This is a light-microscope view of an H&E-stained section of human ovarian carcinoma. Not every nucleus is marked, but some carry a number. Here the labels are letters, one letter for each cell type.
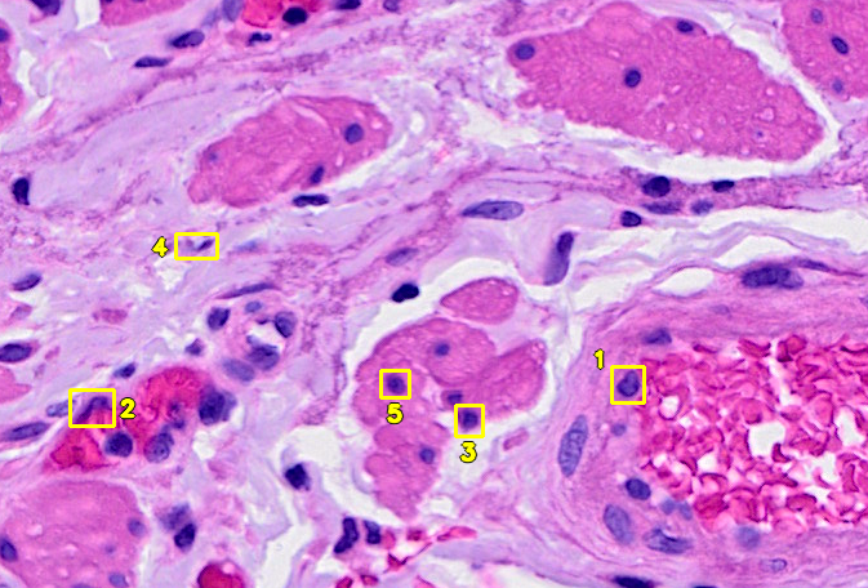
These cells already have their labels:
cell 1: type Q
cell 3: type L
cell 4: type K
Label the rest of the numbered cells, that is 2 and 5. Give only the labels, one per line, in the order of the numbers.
type Q
type L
